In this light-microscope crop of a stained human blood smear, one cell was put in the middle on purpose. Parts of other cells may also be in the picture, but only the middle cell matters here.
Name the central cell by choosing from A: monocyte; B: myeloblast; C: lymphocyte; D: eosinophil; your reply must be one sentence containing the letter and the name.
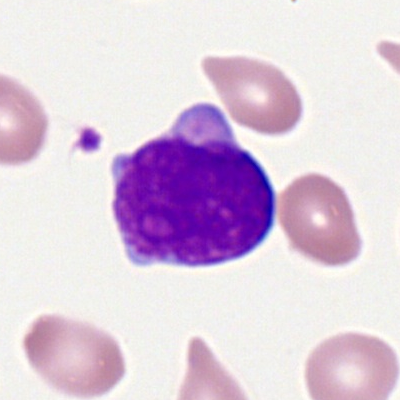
Option B correctly states that the central cell is a myeloblast.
